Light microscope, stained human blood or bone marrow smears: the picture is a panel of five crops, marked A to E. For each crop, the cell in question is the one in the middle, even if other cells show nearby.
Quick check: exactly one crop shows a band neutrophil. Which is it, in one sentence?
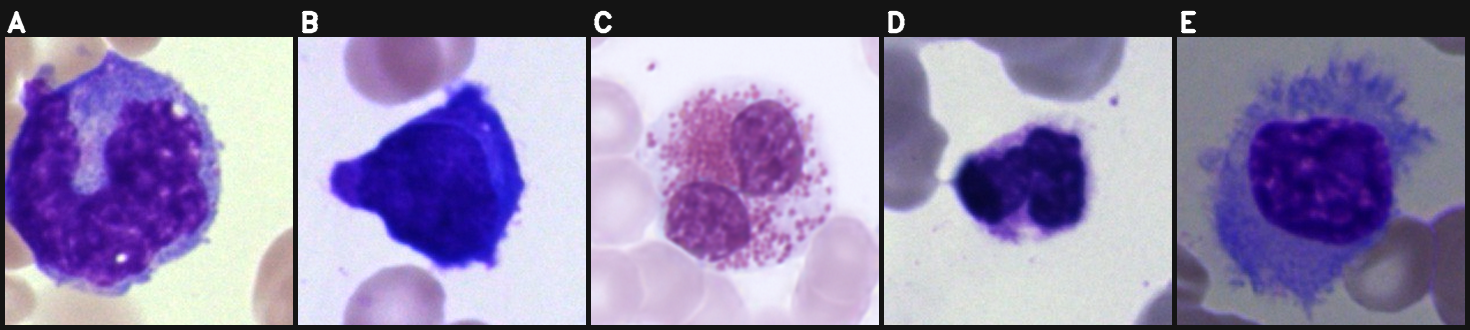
The sole crop showing a band neutrophil is crop D.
